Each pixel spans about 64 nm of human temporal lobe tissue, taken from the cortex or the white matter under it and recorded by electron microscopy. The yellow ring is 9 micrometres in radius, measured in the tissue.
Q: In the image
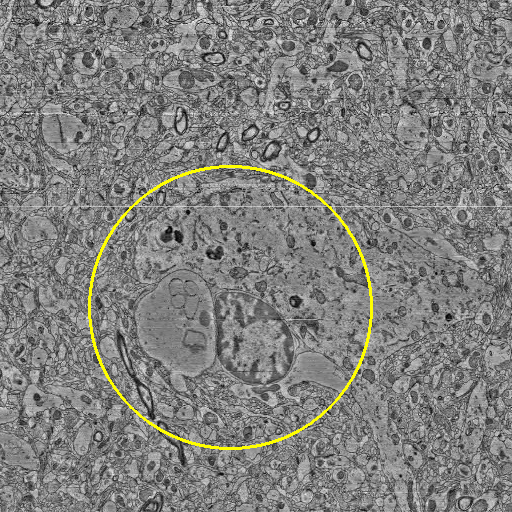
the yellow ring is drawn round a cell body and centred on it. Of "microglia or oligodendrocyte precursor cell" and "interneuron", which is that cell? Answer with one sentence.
The cell centred in the ring is a microglial cell or oligodendrocyte precursor cell.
